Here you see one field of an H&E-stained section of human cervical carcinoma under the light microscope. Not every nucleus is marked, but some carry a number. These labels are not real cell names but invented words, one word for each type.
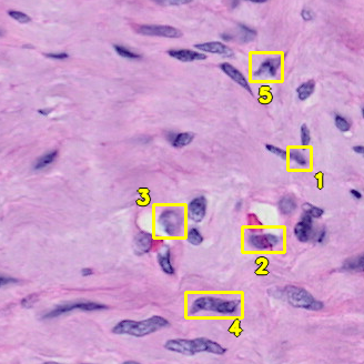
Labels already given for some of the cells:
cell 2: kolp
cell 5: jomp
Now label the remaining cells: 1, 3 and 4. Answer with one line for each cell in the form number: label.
1: jomp
3: kolp
4: jomp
